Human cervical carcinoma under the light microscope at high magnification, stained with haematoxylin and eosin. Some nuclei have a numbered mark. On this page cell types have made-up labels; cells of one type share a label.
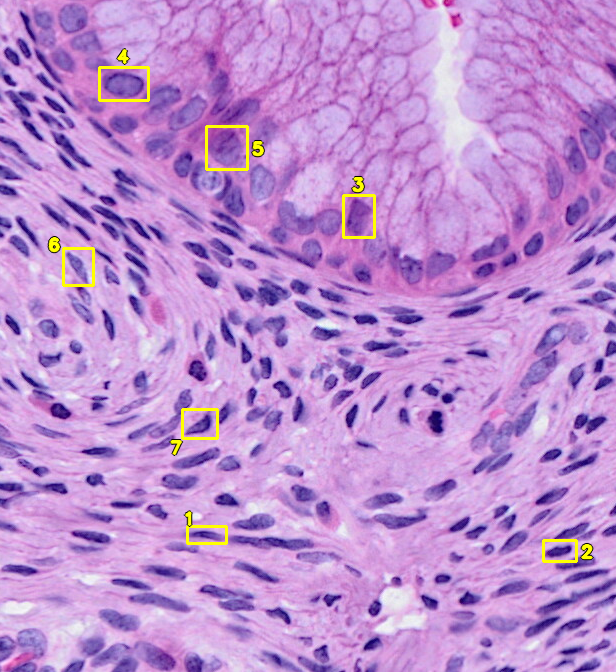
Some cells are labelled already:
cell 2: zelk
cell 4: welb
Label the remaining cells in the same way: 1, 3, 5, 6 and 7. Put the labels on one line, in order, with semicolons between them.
zelk; welb; welb; zelk; zelk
